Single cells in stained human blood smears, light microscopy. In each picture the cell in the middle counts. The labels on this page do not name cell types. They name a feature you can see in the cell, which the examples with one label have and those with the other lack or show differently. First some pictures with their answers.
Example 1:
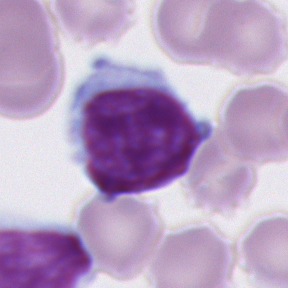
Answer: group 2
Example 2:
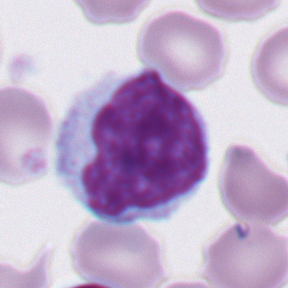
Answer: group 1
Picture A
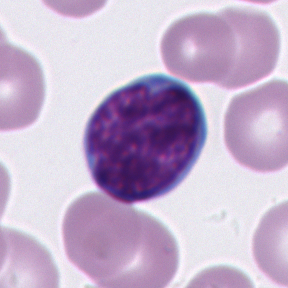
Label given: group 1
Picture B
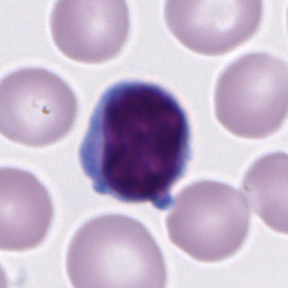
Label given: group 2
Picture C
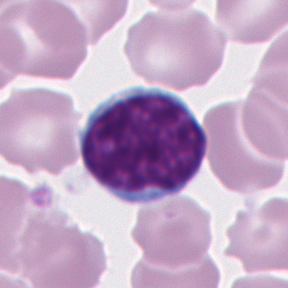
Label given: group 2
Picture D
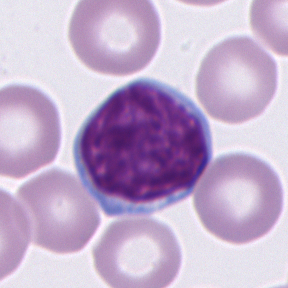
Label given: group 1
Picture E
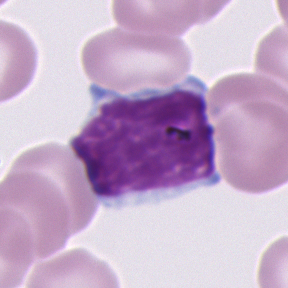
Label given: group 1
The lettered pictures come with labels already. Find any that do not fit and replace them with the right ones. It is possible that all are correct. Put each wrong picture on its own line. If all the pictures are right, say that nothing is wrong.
C is labelled group 2; correct label: group 1
E is labelled group 1; correct label: group 2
